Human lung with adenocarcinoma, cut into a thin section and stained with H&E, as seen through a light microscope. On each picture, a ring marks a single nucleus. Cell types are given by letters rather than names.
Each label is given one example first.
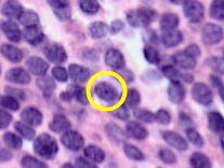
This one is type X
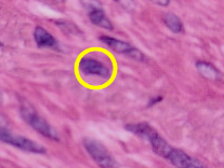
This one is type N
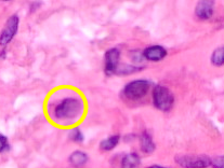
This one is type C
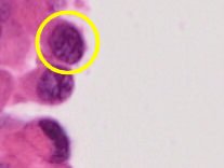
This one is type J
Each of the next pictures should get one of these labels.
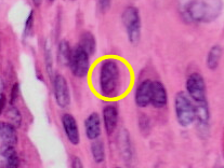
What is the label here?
type C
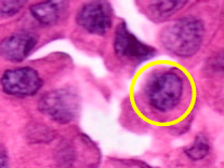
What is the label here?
type J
